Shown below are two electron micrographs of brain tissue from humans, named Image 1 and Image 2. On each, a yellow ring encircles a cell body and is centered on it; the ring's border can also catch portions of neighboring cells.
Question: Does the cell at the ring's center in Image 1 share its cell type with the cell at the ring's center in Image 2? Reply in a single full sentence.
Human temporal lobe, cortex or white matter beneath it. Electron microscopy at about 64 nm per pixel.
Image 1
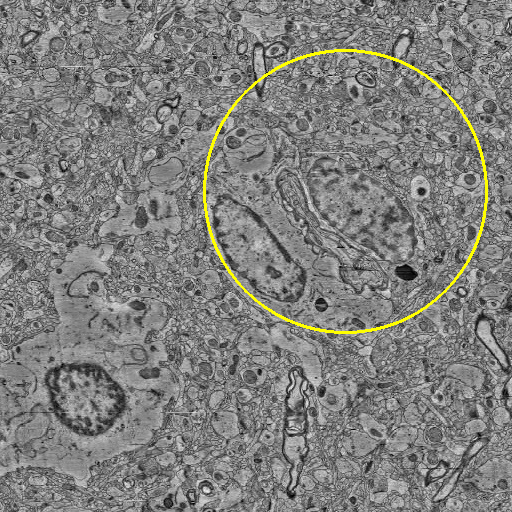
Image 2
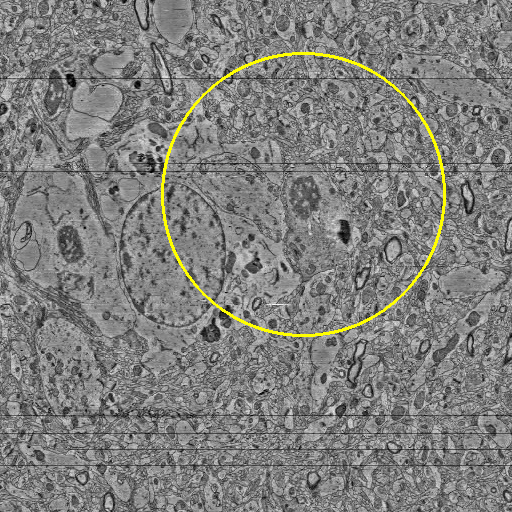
Yes, the two cells at the ring centers, in Image 1 and Image 2, share one cell type.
